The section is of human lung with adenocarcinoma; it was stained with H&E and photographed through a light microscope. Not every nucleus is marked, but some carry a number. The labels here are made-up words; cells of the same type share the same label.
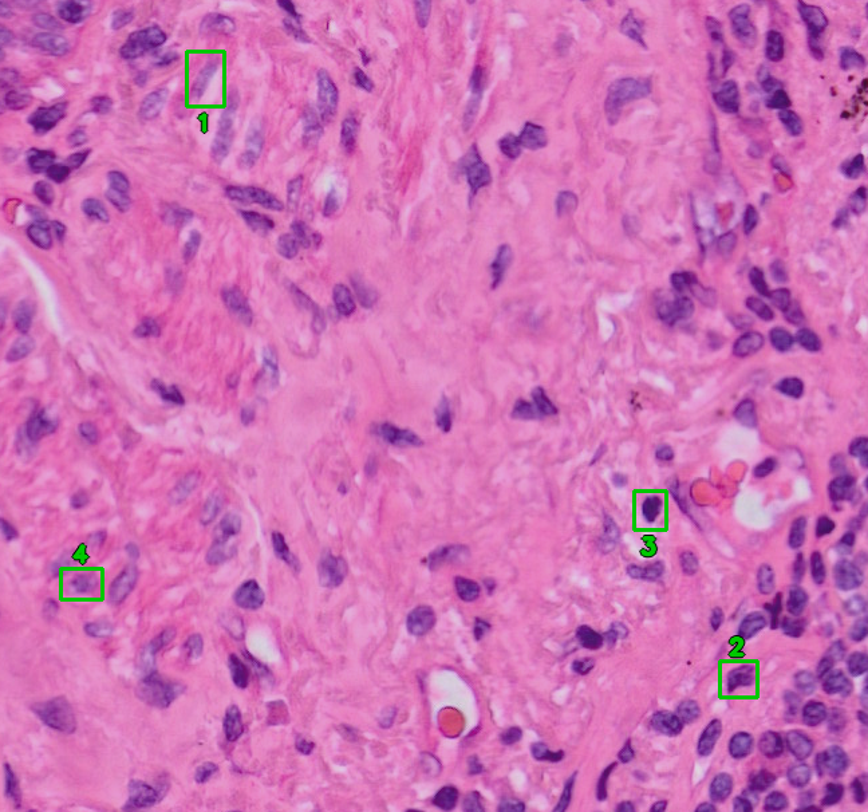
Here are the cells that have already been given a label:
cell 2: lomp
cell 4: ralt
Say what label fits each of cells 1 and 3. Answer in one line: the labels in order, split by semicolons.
ralt; lomp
